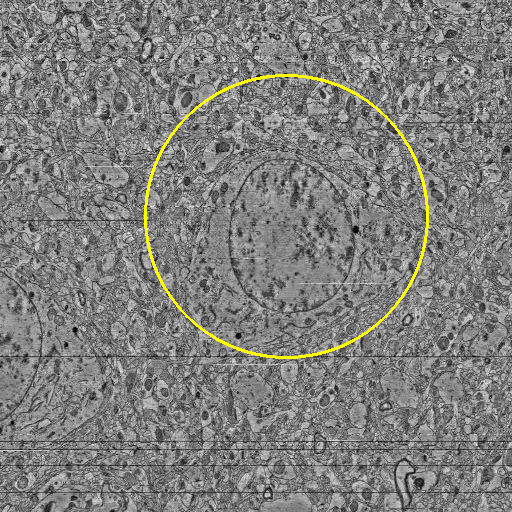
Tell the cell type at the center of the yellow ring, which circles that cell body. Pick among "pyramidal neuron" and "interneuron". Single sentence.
The ring is centered on the body of a pyramidal neuron.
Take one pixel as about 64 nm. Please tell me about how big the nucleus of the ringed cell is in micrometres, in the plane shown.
The nucleus appears roughly 10 by 8 micrometres in this plane.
